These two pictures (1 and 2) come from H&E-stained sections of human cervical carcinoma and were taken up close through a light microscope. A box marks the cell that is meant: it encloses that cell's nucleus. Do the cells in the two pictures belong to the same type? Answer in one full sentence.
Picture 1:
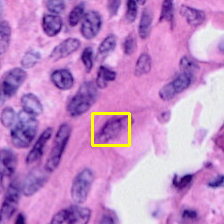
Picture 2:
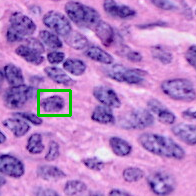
Yes, they are the same type: both are squamous carcinoma cells.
